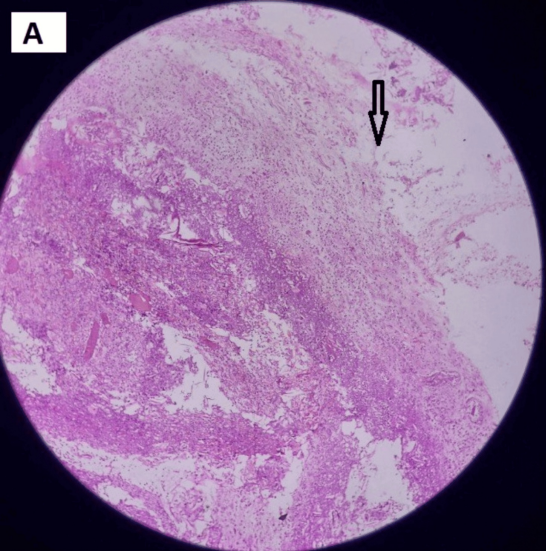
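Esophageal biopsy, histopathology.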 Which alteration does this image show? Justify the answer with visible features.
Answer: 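Necrotic mucosa. No intact layered tissue architecture is visible.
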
